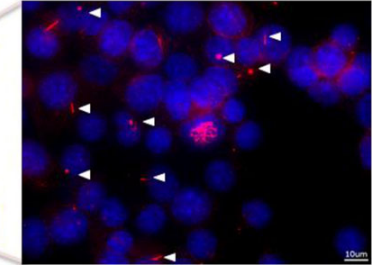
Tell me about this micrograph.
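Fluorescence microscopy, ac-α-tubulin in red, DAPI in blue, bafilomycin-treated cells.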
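Cultured cells seen by fluorescence, densely crowded, with large blue oval nuclei that often touch or overlap. Short red rods and dots, marked by white arrowheads, are primary cilia lying beside the nuclei. Besides these, faint red rings outline many cells around their nuclei, giving a patchy background. Near the centre lies one compact cluster of bright red and pink material over a nucleus, unlike the thin rods elsewhere. The nuclei vary somewhat in brightness and size.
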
